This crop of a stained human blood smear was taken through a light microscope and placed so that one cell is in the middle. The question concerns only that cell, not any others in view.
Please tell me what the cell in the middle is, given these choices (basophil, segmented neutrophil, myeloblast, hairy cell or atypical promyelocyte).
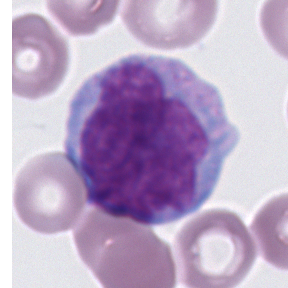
atypical promyelocyte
